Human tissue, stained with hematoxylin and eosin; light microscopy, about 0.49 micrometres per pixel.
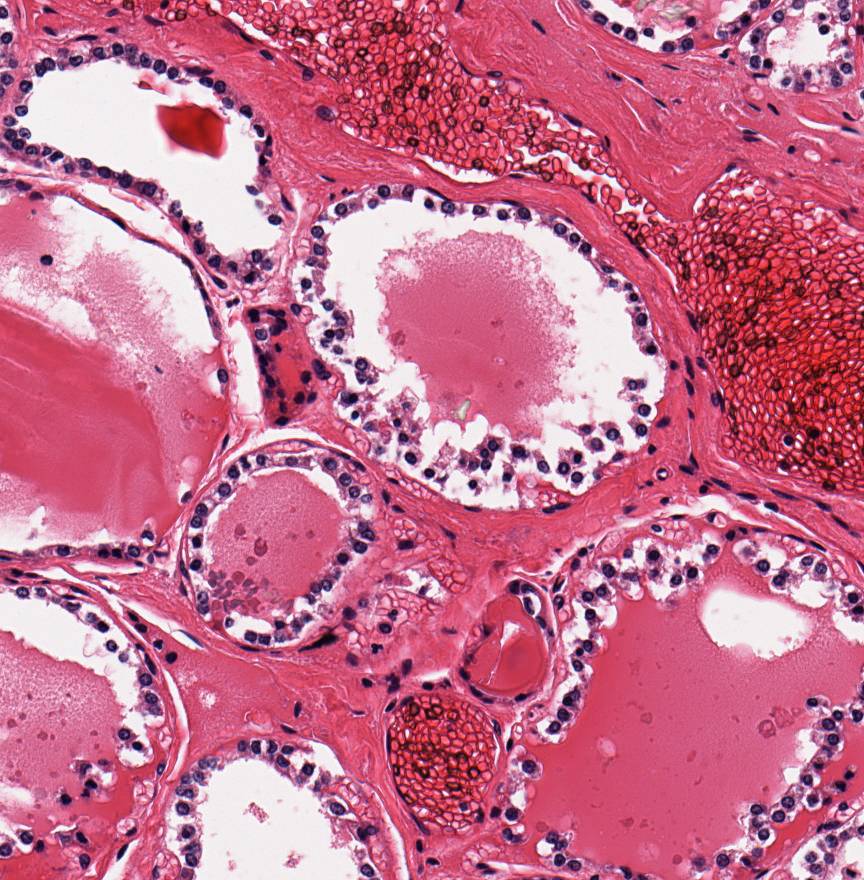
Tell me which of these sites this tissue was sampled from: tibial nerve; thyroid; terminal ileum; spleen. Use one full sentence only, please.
This mounted section holds tissue from the thyroid.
